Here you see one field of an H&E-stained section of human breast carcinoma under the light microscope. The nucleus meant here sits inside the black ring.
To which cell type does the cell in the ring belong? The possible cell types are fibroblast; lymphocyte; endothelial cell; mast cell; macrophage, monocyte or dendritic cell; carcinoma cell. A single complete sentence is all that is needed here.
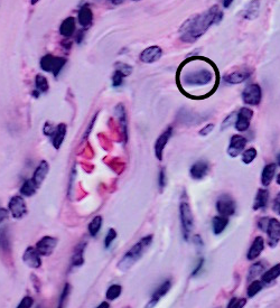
Right, so the cell in the ring is a lymphocyte, to answer that.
